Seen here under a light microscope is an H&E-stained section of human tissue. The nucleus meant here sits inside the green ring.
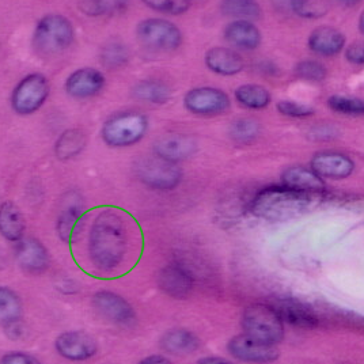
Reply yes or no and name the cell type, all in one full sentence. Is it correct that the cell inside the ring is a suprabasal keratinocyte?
Yes, the claim that the cell inside the ring is a suprabasal keratinocyte holds true.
